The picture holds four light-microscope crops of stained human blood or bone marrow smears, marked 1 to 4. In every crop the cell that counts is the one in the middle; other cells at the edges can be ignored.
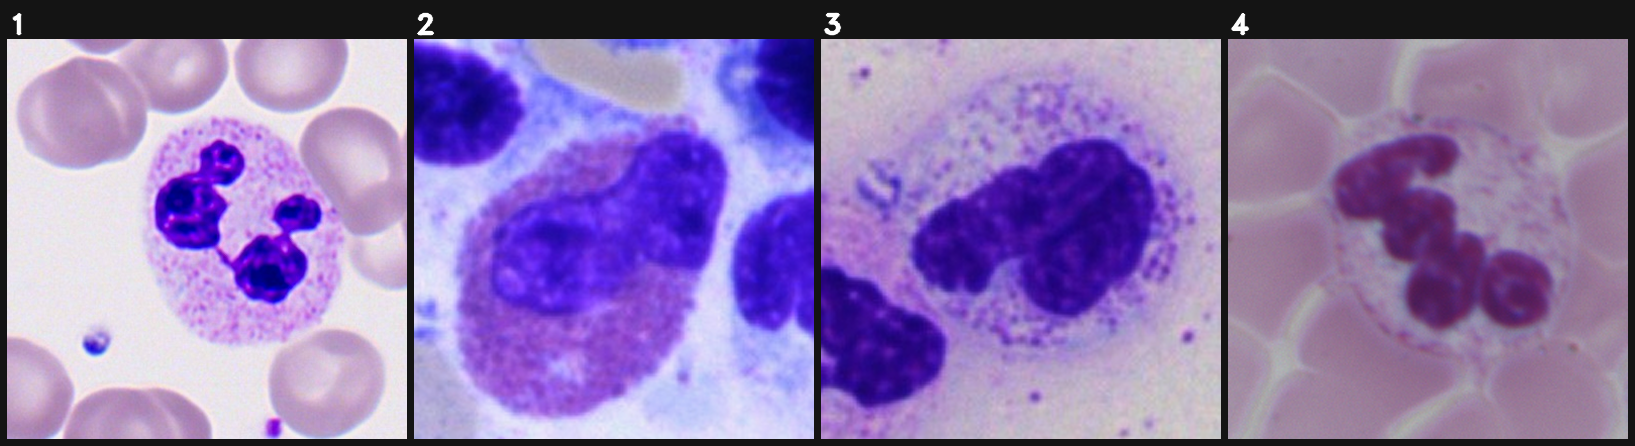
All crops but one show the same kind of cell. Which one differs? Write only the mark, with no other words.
2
